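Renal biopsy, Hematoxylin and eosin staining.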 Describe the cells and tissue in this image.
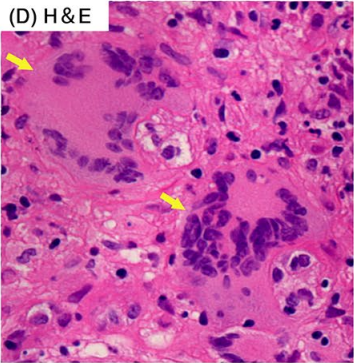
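Kidney interstitium with multinucleated giant cells within an epithelioid cell granuloma. Two very large cells with abundant homogeneous pink cytoplasm carry many dark nuclei, gathered in a horseshoe-like row or crowded cluster at one edge. Around them lie epithelioid cells with pale oval nuclei and scattered small dark inflammatory cells in loose pink stroma.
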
